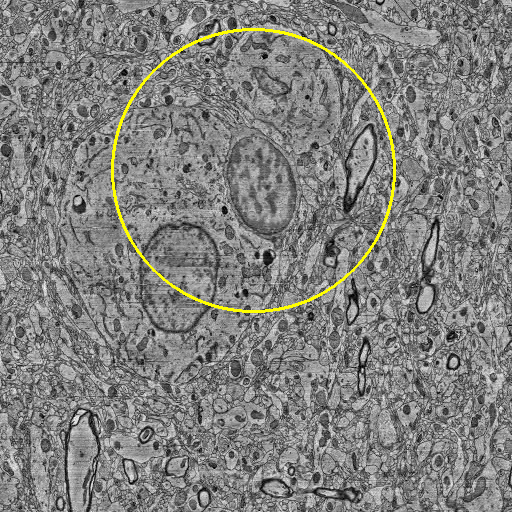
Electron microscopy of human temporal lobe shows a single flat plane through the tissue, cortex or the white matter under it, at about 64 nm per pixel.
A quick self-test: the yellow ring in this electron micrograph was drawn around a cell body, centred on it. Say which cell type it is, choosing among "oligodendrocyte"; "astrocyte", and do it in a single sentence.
The yellow-ringed cell is an oligodendrocyte.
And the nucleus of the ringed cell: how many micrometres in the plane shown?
The ringed cell's nucleus is roughly 7 by 4 micrometres and clearly longer than it is wide in this plane.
